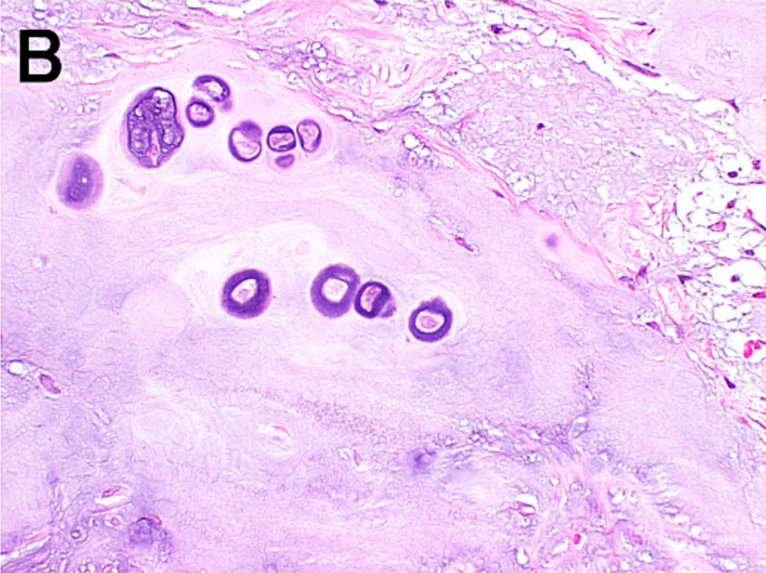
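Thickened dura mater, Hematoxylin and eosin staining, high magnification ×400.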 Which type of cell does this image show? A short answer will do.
Hyperplastic chondrocytes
